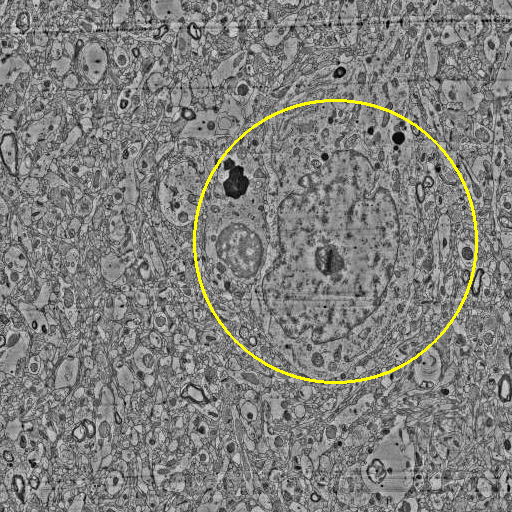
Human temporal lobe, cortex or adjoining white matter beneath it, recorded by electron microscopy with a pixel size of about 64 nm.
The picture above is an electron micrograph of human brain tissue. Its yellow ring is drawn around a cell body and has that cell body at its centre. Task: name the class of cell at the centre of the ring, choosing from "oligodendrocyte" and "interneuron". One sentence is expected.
The ring surrounds the body of an interneuron.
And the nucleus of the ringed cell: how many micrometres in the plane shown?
The nucleus works out at approximately 13 by 8 micrometres in this plane.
